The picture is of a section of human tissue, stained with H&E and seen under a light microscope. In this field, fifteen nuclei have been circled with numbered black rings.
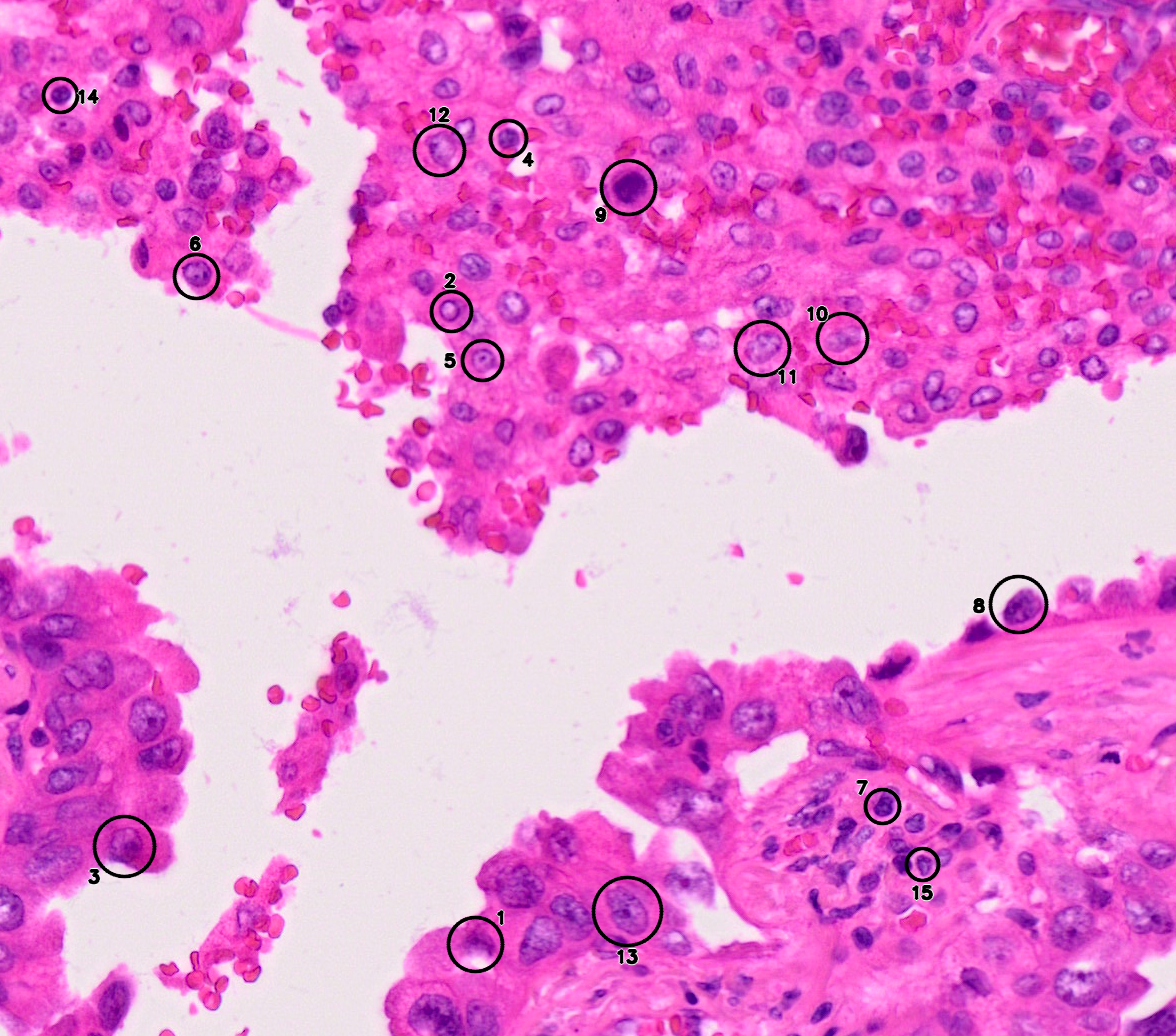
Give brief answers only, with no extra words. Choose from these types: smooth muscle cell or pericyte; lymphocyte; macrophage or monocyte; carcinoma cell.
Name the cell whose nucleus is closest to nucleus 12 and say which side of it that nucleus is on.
a macrophage or monocyte, above and to the right of nucleus 12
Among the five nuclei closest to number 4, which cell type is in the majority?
macrophage or monocyte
